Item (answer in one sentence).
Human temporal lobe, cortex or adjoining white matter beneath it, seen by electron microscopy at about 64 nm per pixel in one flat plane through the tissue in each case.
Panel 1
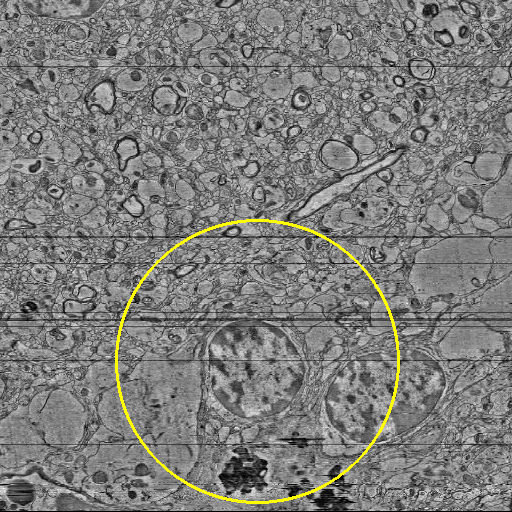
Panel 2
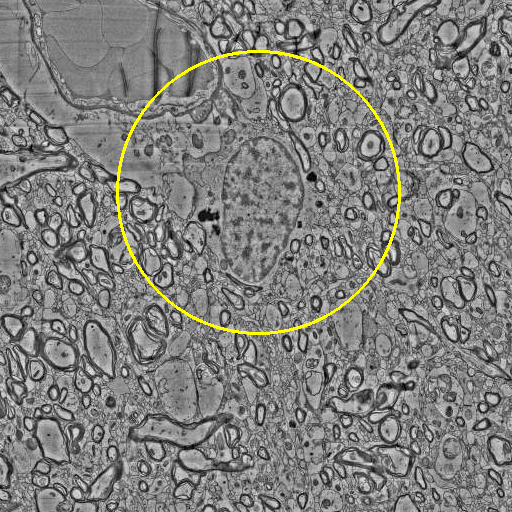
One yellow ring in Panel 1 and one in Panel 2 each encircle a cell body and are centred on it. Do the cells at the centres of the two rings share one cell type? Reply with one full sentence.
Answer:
No, Panel 1 and Panel 2 show cells of two types at the centres of their rings.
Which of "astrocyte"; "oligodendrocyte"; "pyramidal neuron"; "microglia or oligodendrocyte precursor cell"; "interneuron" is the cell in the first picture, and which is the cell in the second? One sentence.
The two differ: the first cell is a microglial cell or oligodendrocyte precursor cell and the second is an oligodendrocyte.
